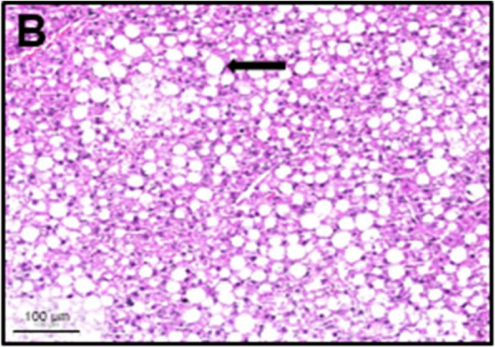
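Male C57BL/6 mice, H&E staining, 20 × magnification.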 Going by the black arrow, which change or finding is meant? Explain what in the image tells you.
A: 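The arrow points at a round, empty, clear space. Many similar round clear vacuoles of varying size fill much of the tissue.
Hence: lipid deposition.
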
